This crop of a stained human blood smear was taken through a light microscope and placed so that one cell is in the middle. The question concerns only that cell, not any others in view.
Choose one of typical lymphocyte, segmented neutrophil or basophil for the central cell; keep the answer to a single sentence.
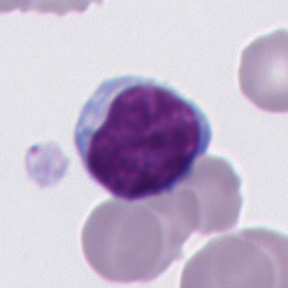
The cell that lies at the centre of the crop is a typical lymphocyte.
